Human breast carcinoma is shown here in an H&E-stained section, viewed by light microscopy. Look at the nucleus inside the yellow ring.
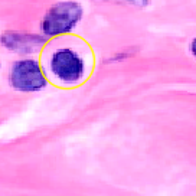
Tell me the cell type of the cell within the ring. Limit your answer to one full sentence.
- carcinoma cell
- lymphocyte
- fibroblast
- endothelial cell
In the tissue at hand, the cell within the ring is a lymphocyte.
